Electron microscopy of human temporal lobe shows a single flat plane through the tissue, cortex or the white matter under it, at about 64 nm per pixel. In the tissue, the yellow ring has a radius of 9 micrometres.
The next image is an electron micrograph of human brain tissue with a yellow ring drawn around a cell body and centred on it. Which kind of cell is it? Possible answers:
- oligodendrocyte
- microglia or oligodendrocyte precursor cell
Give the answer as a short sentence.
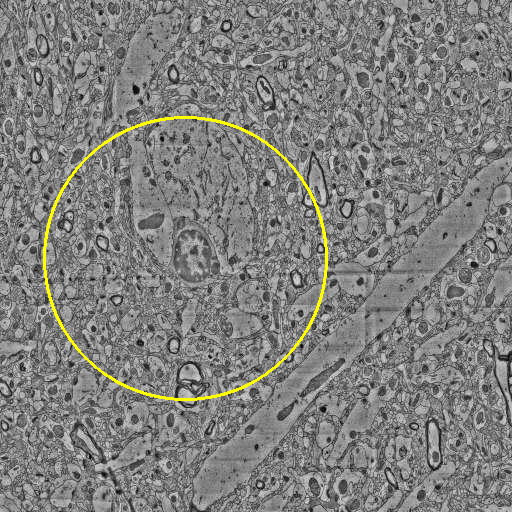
In the ring's centre is an oligodendrocyte.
